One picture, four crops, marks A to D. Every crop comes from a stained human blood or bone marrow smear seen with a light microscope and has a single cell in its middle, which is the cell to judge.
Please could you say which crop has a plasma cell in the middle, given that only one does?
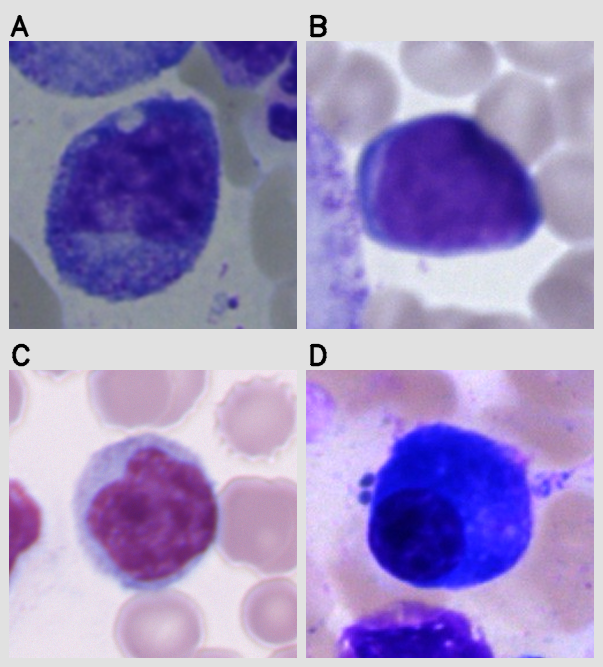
D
